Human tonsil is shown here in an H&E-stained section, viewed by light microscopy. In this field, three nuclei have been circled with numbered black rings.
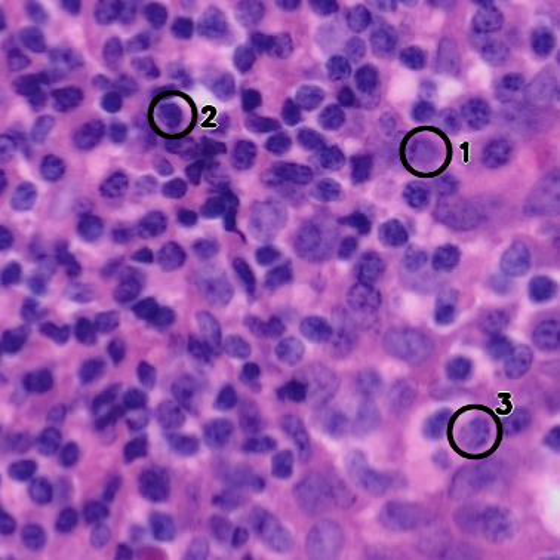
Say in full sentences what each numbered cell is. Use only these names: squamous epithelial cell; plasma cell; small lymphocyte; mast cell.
Cells 1 and 3 are plasma cells. Cell 2 is a small lymphocyte.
